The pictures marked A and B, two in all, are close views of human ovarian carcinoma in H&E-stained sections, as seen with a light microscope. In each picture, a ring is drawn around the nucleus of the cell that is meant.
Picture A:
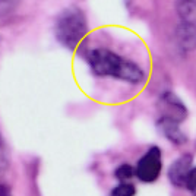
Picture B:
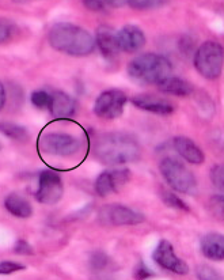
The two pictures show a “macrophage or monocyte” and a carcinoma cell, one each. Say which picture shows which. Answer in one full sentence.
It is picture A that shows a “macrophage or monocyte”, and picture B that shows a carcinoma cell.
